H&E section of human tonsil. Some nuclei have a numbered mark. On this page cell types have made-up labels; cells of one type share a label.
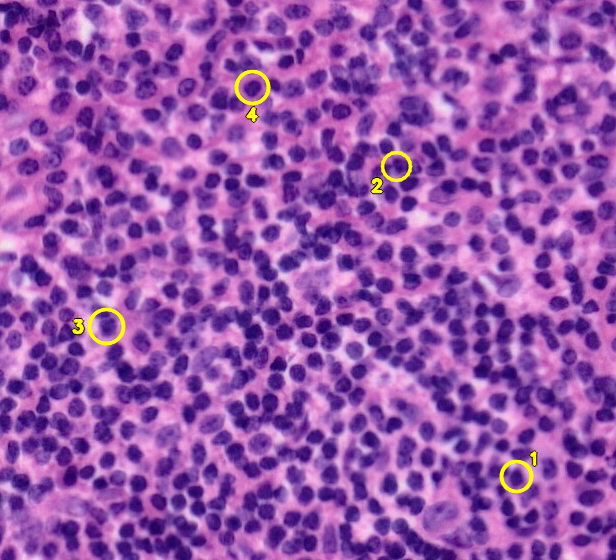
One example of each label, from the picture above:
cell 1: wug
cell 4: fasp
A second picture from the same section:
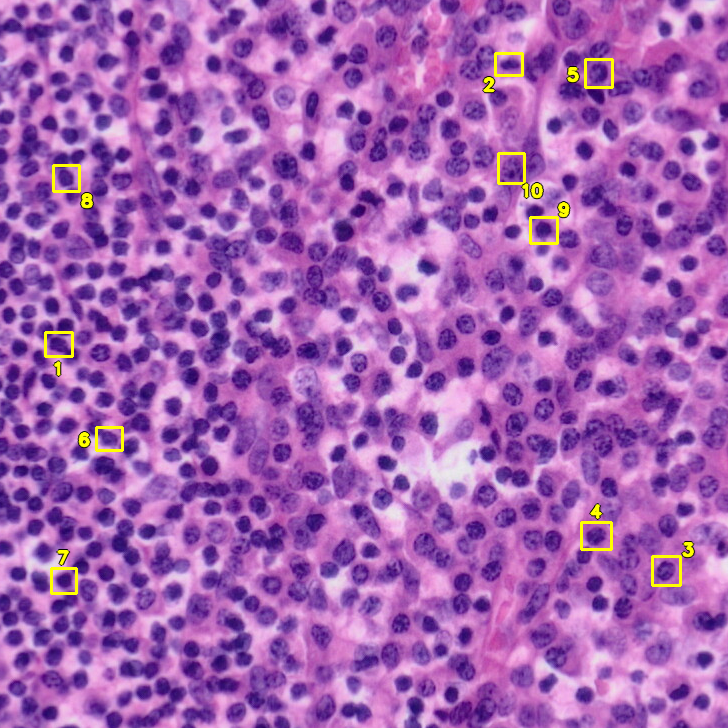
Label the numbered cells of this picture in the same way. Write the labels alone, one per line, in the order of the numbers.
wug
fasp
fasp
fasp
fasp
wug
wug
wug
fasp
fasp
